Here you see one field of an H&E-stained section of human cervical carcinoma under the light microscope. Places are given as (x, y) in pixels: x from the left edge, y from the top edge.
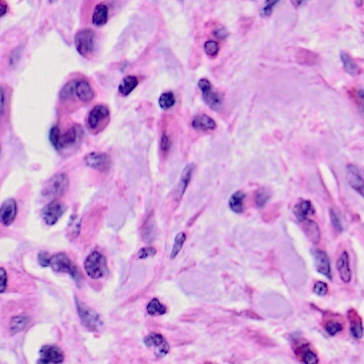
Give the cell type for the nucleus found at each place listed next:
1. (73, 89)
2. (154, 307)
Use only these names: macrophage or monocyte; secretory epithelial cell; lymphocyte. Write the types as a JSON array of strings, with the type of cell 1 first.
["macrophage or monocyte", "lymphocyte"]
